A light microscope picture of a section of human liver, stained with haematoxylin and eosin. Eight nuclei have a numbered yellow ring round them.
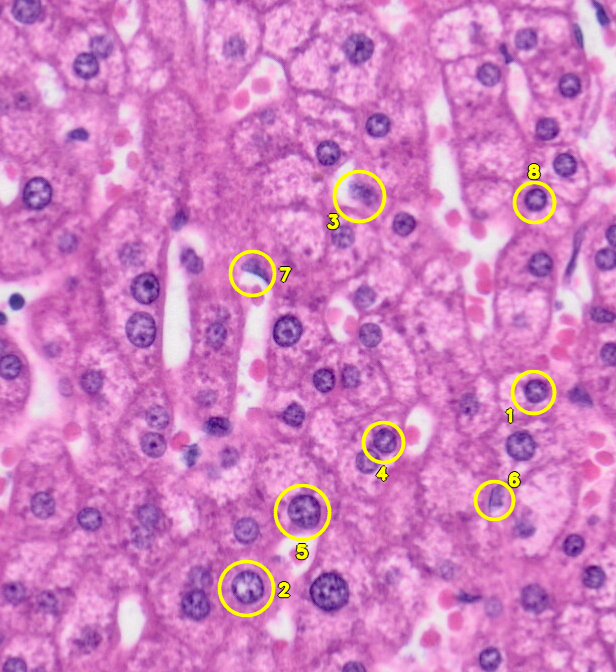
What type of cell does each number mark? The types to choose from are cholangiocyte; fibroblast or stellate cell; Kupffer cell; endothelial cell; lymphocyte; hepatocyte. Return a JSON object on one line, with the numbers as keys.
{"1": "hepatocyte", "2": "hepatocyte", "3": "Kupffer cell", "4": "hepatocyte", "5": "hepatocyte", "6": "endothelial cell", "7": "endothelial cell", "8": "hepatocyte"}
